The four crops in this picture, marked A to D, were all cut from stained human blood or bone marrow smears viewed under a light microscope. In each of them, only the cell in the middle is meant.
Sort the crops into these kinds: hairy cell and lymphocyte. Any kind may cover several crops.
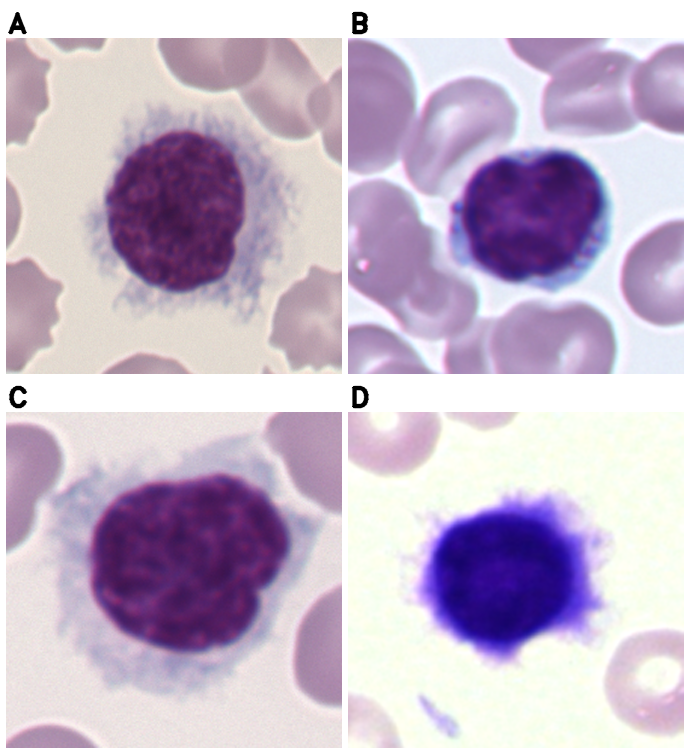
A: hairy cell
B: lymphocyte
C: hairy cell
D: hairy cell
